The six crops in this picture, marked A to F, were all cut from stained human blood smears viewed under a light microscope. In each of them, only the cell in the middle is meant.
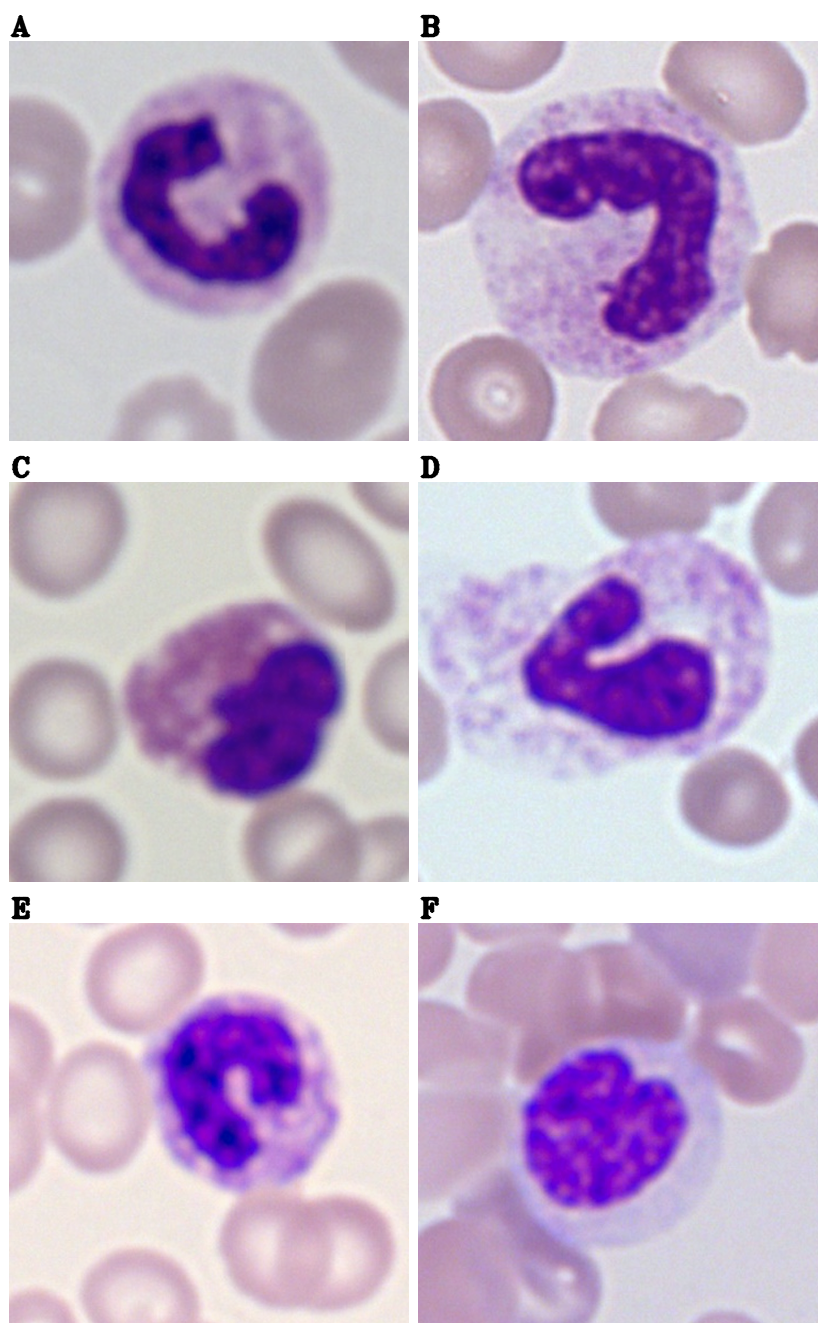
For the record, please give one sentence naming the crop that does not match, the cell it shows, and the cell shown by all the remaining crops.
In crop C the central cell is an eosinophil, whereas the other crops all contain band neutrophils.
